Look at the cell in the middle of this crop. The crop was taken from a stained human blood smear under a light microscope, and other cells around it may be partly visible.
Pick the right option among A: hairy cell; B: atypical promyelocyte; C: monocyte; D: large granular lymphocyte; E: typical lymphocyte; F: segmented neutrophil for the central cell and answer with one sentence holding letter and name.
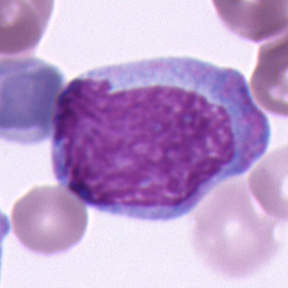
Option B is the keyed answer: the cell in the middle is an atypical promyelocyte.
